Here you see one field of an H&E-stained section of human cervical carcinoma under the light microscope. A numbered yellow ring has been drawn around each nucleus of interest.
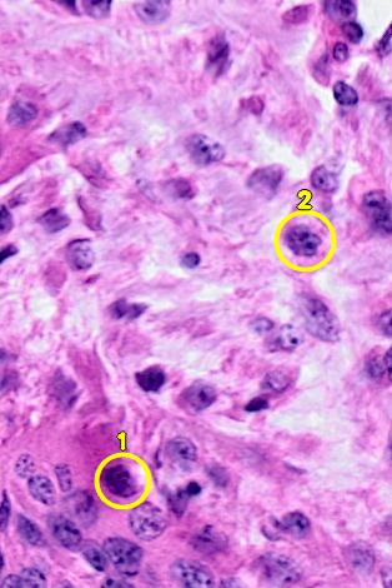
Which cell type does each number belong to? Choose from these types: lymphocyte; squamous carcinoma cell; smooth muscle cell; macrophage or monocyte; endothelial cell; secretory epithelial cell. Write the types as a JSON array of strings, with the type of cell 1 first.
["squamous carcinoma cell", "macrophage or monocyte"]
